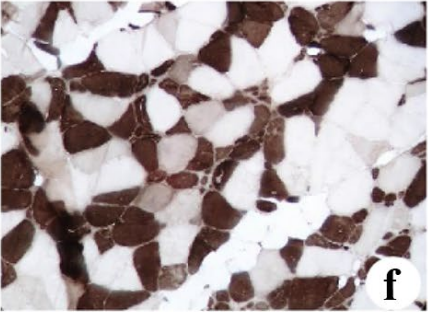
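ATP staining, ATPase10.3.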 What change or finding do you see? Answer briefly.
Distributed in a mosaic pattern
